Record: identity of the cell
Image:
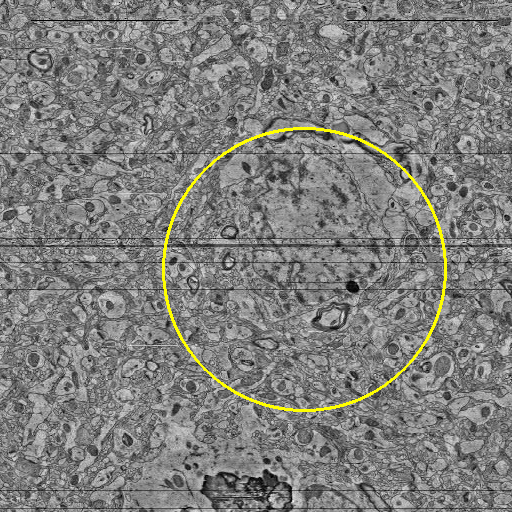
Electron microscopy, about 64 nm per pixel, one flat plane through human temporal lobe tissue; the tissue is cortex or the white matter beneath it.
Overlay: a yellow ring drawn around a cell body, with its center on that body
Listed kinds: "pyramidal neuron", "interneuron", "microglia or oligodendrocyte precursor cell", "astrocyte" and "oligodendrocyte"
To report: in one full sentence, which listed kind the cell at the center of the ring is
In the image, the cell body at the ring's center belongs to an interneuron.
